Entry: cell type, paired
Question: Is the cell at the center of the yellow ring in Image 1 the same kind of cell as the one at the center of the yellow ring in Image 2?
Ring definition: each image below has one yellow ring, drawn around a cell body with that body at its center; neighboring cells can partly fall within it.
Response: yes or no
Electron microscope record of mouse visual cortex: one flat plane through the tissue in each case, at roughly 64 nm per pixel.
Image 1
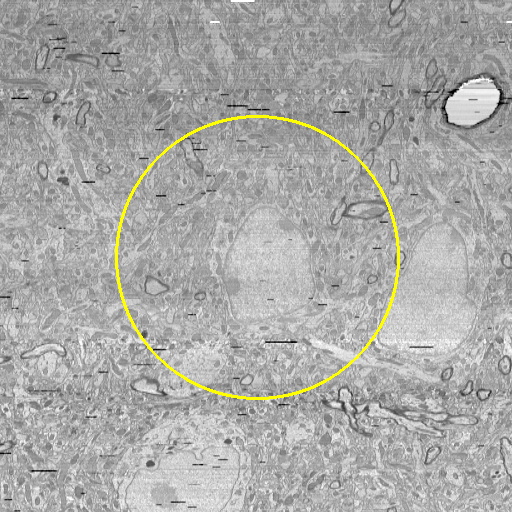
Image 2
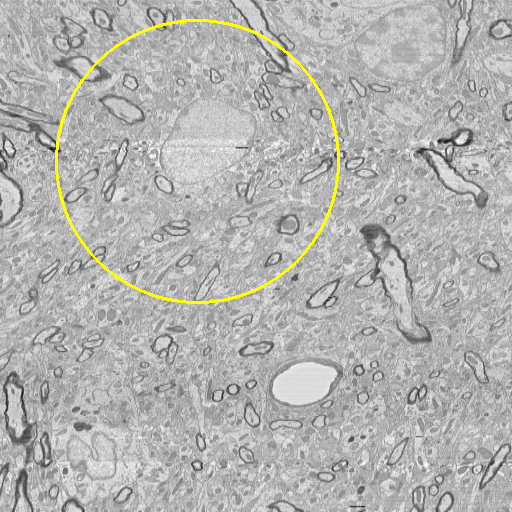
yes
